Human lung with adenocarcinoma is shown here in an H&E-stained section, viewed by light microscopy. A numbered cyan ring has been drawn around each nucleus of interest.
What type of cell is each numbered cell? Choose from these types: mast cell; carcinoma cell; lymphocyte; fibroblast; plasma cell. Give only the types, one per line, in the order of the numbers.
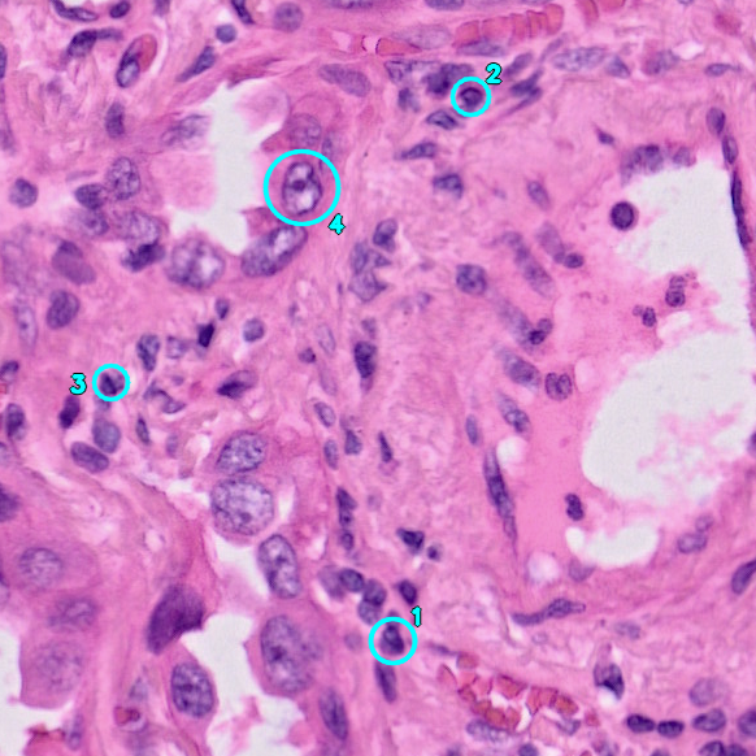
lymphocyte
plasma cell
lymphocyte
carcinoma cell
